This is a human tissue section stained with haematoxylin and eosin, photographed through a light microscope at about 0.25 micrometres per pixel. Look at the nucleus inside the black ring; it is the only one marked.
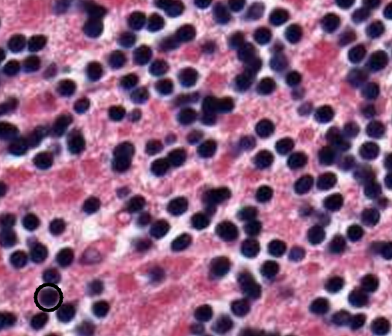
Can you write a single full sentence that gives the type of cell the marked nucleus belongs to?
A nucleus of a cerebellar granule cell is the one that is marked.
